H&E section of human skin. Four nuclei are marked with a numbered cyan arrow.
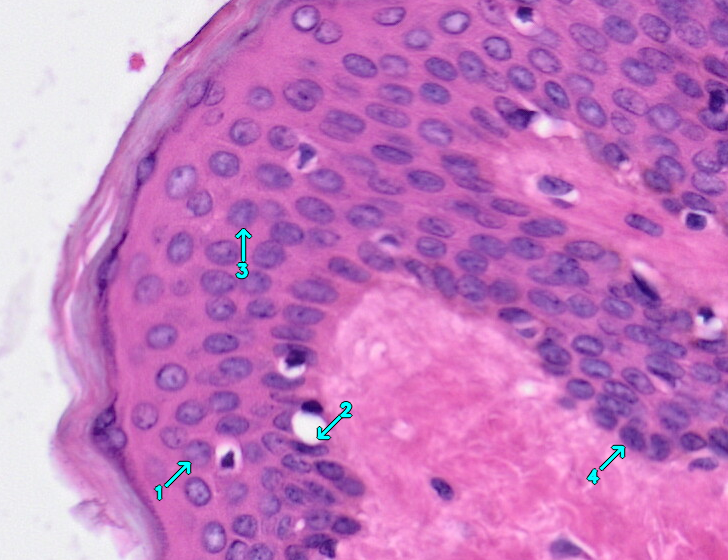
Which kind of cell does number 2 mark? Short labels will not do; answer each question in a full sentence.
It is as a basal keratinocyte that the cell numbered 2 is identified.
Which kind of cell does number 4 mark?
Of the numbered cells, the one labelled 4 is a basal keratinocyte.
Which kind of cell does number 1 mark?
Nucleus 1 in this section belongs to a suprabasal keratinocyte.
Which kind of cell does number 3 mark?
The cell that bears the number 3 is a suprabasal keratinocyte.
